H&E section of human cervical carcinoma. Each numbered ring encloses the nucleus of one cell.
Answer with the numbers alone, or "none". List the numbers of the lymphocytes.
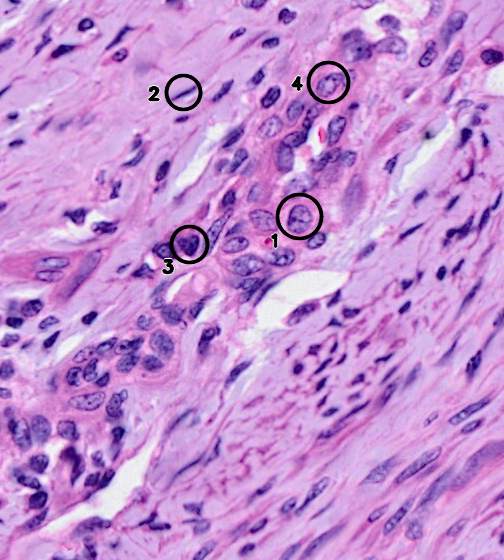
3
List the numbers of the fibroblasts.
2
